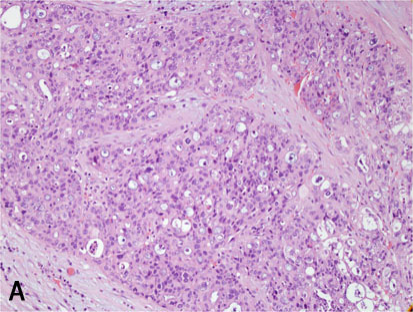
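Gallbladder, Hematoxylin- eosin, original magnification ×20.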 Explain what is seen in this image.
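Crowded atypical epithelial cells form solid sheets and nests separated by bands of pink fibrous stroma, with only scattered small gland-like lumens. The nuclei are enlarged, hyperchromatic and vary in size, and the cells have pale pink cytoplasm. Here and there cells carry clear cytoplasmic vacuoles. This is a poorly differentiated adenocarcinoma with signet-ring cells.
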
